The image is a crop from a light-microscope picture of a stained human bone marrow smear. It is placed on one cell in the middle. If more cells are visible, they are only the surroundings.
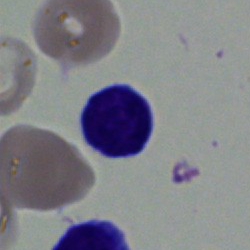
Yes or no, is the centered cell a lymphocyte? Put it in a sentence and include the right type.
Yes, the central cell here is a lymphocyte.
